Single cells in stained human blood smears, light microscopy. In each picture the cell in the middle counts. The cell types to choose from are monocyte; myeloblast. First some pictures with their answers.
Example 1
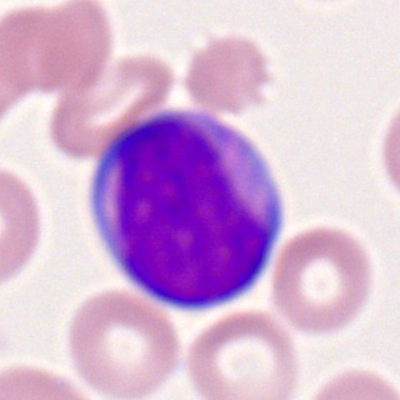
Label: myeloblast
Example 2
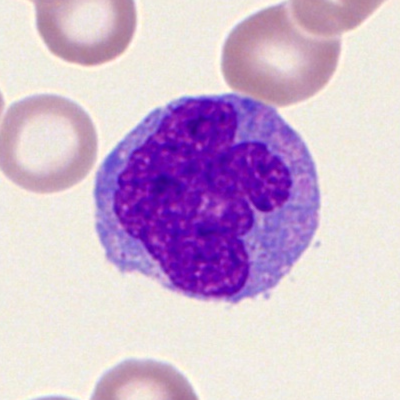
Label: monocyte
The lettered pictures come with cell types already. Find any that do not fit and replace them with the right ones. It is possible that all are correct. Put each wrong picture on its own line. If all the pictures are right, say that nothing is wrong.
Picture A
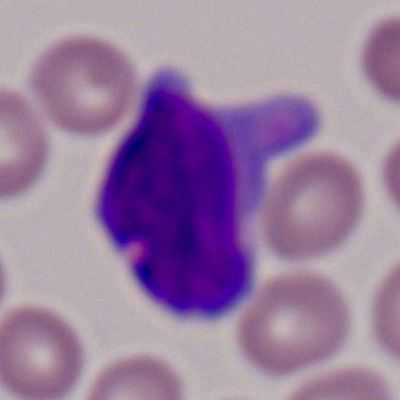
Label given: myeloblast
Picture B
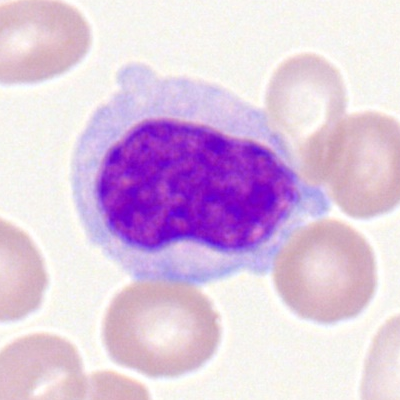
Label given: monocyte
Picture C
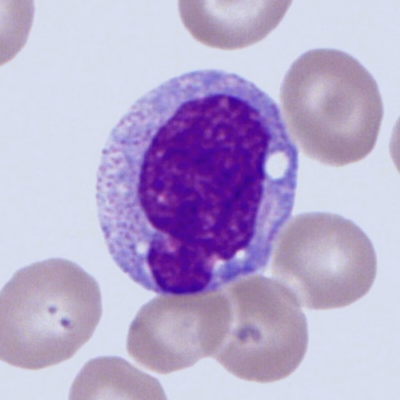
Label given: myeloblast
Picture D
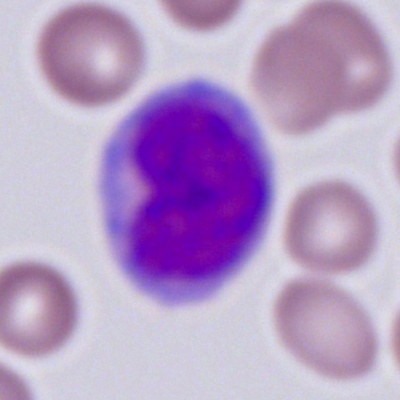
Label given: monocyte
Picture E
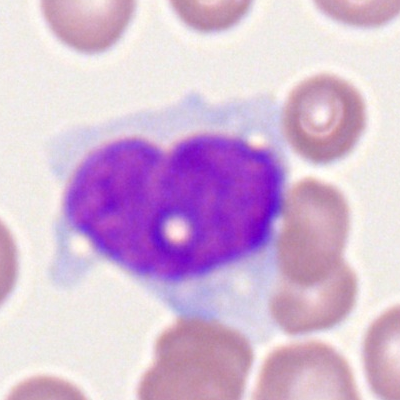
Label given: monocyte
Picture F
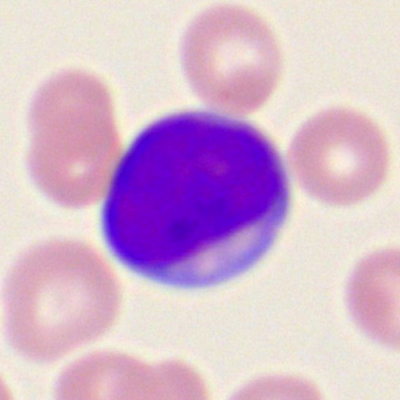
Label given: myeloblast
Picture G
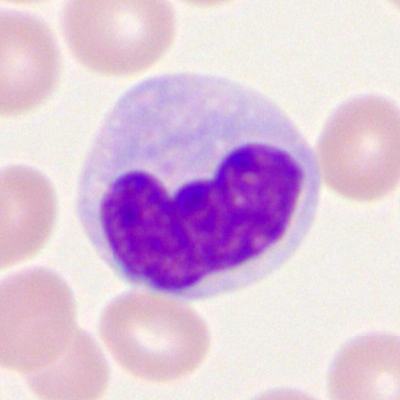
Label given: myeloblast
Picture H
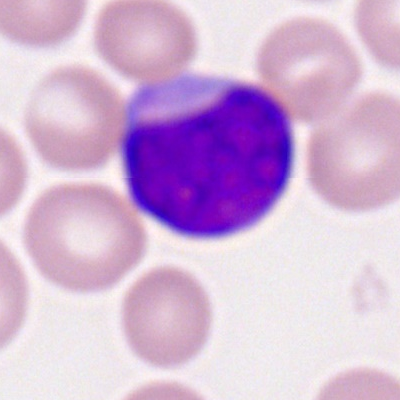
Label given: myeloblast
C: change myeloblast to monocyte
G: change myeloblast to monocyte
